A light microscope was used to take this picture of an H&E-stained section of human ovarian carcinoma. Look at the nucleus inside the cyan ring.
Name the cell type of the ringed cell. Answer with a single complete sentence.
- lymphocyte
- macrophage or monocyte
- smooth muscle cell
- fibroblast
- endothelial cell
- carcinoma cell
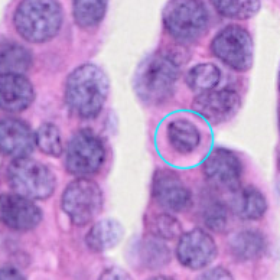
The cell type represented by the ringed cell is that of a macrophage or monocyte.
